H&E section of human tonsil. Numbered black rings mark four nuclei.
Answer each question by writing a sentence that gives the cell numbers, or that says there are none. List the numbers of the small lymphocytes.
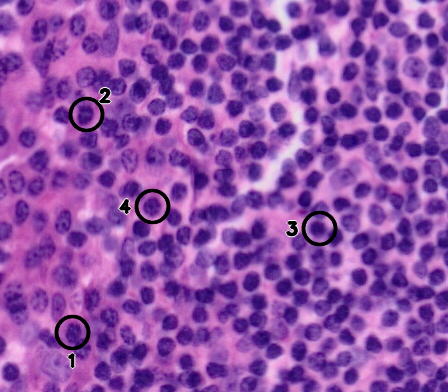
Across all the numbered cells, only number 3 is a small lymphocyte.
